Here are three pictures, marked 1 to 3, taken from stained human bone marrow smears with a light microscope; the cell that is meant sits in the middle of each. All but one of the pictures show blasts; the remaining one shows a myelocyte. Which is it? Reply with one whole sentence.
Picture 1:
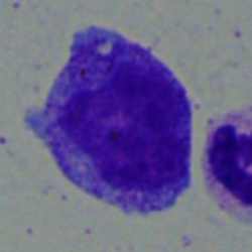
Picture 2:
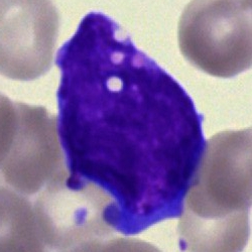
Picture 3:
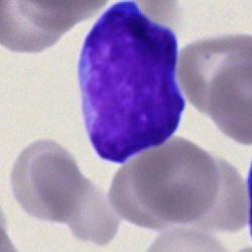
The cell in picture 1 is the myelocyte.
